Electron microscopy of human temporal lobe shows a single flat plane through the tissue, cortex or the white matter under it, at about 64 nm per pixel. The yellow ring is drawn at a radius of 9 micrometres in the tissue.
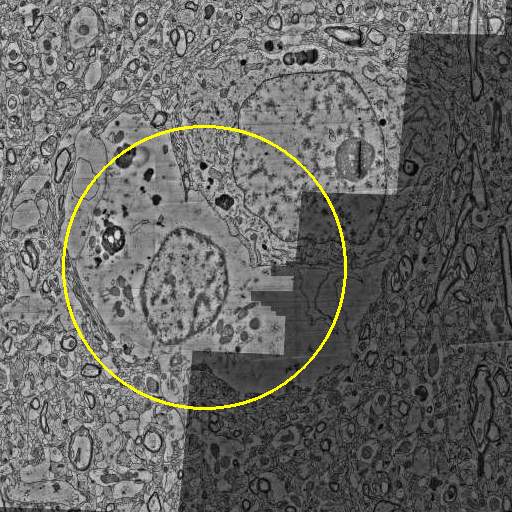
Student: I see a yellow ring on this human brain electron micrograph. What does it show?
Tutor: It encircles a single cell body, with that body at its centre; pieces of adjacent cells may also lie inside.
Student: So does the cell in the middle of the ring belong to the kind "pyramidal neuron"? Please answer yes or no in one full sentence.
No, that cell at the centre of the ring is one of another kind.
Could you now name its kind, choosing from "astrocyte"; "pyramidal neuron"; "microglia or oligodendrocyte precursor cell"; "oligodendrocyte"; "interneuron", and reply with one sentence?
The cell in question here is an astrocyte.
